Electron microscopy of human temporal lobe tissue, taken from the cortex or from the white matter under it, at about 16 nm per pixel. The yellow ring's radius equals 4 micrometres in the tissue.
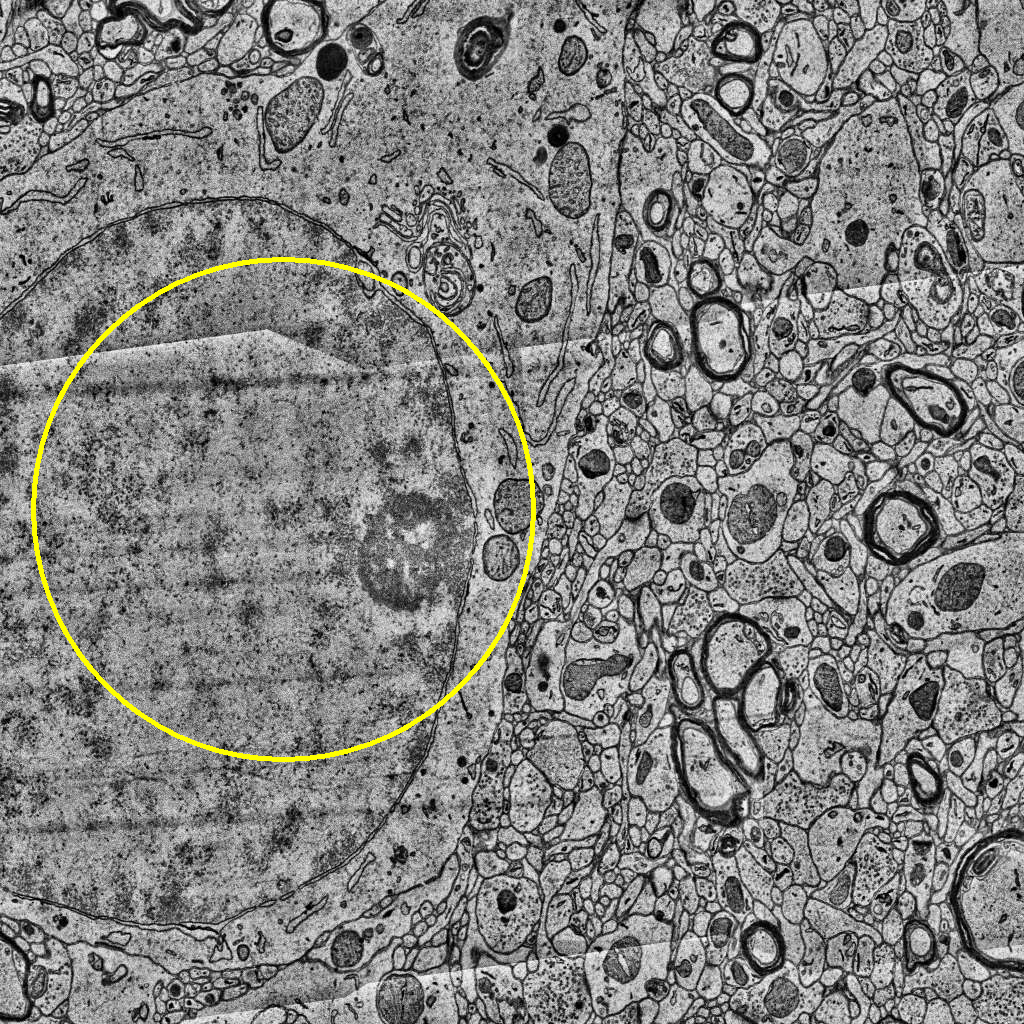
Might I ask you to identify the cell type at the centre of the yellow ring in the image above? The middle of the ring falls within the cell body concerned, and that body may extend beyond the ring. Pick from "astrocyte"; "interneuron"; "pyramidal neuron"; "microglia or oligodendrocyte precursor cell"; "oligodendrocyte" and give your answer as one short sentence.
The centre of the ring falls on an interneuron.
